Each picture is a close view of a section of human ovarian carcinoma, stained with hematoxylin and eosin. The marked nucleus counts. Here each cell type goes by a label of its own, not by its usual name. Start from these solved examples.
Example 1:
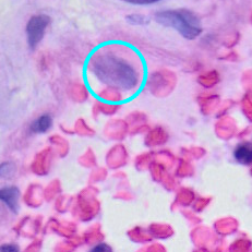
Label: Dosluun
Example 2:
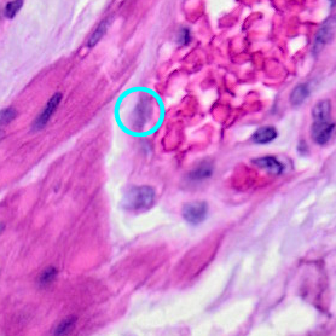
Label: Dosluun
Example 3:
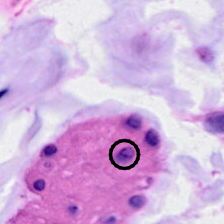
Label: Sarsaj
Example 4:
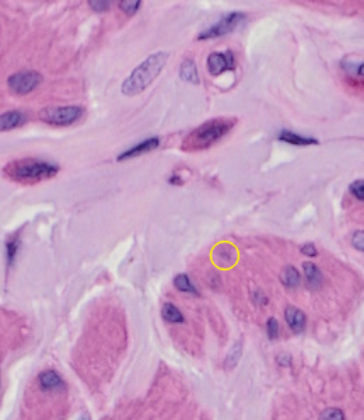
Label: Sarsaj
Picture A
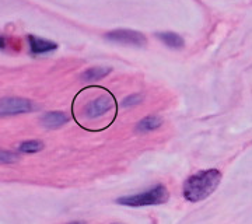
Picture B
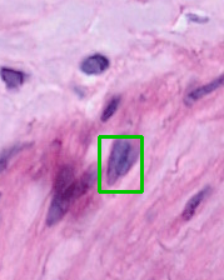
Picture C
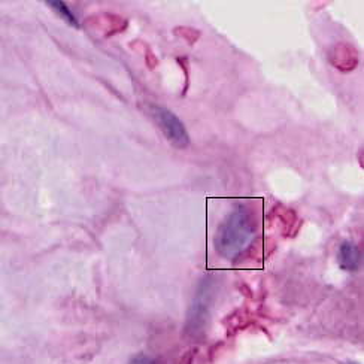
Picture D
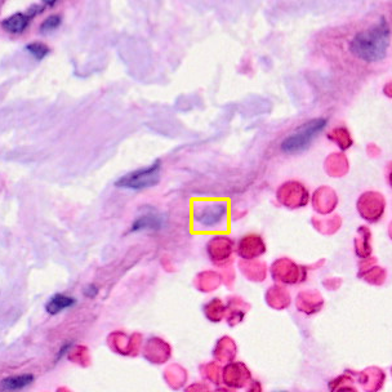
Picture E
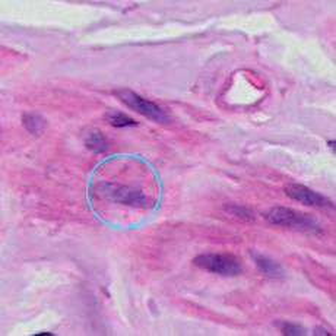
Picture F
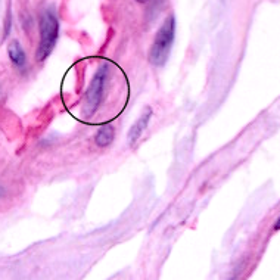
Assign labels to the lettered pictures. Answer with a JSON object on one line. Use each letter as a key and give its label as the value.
{"A": "Sarsaj", "B": "Sarsaj", "C": "Dosluun", "D": "Dosluun", "E": "Sarsaj", "F": "Dosluun"}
